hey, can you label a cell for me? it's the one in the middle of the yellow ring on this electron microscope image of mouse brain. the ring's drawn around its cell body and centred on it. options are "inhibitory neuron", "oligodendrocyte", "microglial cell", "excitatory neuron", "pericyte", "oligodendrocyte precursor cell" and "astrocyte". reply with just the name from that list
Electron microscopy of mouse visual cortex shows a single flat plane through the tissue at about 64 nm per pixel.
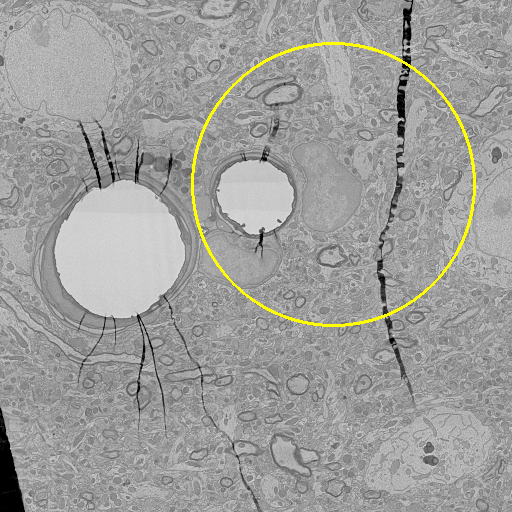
microglial cell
